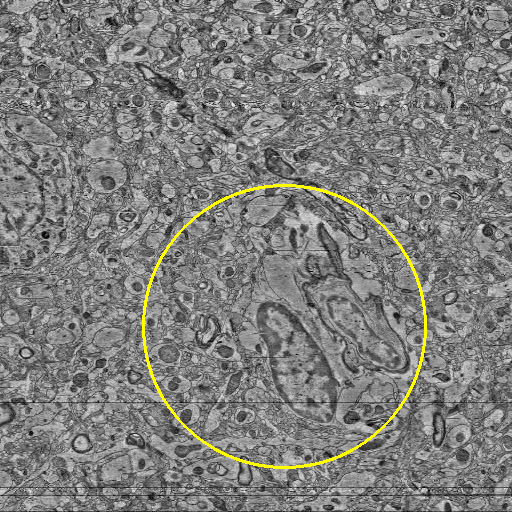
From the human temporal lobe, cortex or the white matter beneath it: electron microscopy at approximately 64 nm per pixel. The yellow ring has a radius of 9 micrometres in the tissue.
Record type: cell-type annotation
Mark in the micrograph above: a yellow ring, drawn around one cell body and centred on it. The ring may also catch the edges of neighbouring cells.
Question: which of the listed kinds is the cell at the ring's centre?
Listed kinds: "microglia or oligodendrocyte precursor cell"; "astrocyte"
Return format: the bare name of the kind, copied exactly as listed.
microglia or oligodendrocyte precursor cell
